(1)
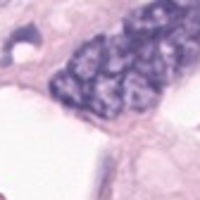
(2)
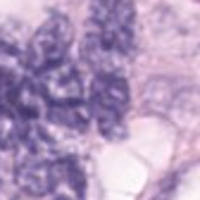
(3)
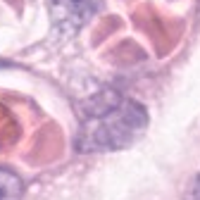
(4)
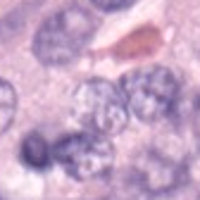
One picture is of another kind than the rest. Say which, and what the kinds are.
Picture 3 shows a cytotrophoblast; the rest show syncytial knots.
